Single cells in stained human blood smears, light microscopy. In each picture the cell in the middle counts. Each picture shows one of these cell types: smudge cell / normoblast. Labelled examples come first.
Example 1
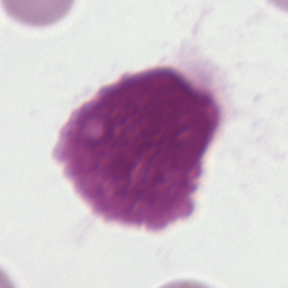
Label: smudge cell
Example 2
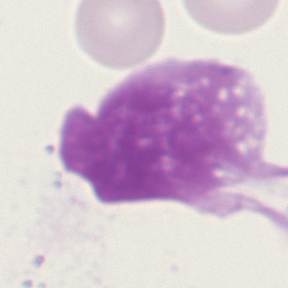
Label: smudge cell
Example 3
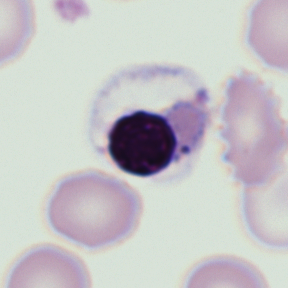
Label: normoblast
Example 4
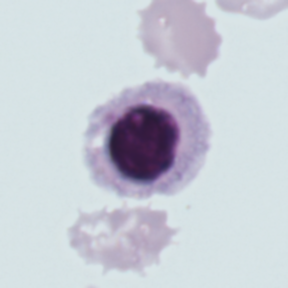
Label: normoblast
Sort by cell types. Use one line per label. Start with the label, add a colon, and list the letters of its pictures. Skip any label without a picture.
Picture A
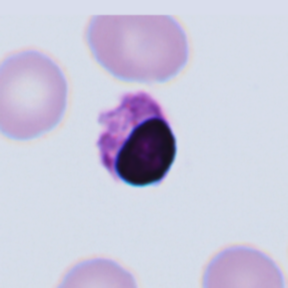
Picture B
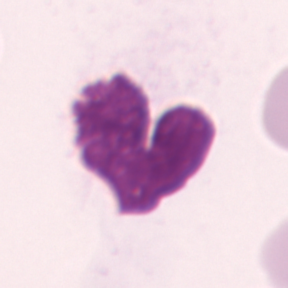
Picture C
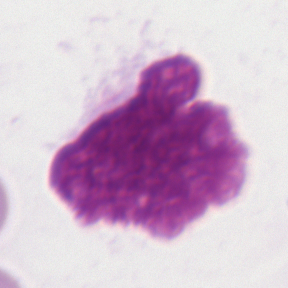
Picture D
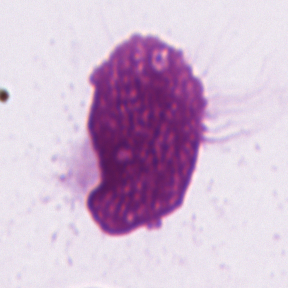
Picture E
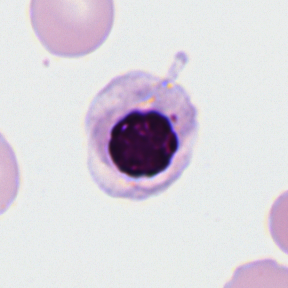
smudge cell: B, C, D
normoblast: A, E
